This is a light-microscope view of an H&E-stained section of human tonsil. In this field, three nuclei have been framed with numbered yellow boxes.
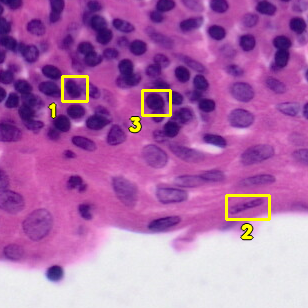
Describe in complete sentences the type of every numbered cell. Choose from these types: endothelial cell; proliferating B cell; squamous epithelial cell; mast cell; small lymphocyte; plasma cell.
Cell 1 is a plasma cell, cell 2 is a squamous epithelial cell and cell 3 is a plasma cell.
